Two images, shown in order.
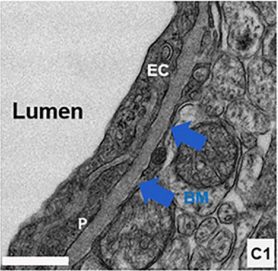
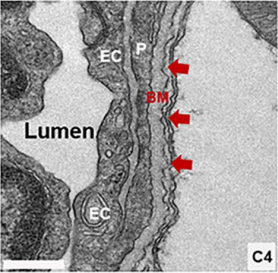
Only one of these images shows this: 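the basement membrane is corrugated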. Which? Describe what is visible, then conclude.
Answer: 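Second image: the thin band along the vessel wall is wavy and folded. First image: the band between endothelial cell and surrounding tissue is smooth and evenly thick.
Answer: the second image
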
